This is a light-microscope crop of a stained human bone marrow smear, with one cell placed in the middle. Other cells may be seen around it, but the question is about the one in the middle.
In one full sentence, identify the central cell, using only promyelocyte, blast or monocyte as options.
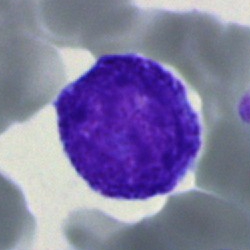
The middle position in this crop is taken by a blast.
